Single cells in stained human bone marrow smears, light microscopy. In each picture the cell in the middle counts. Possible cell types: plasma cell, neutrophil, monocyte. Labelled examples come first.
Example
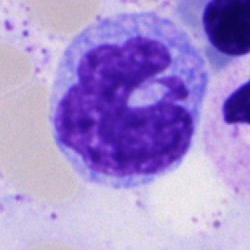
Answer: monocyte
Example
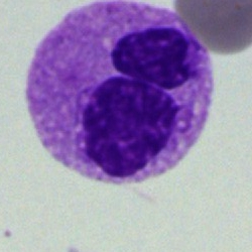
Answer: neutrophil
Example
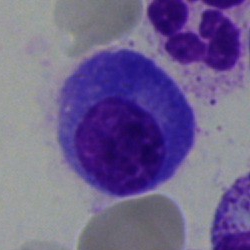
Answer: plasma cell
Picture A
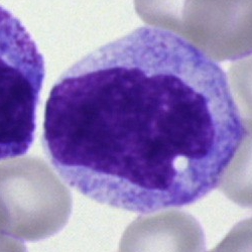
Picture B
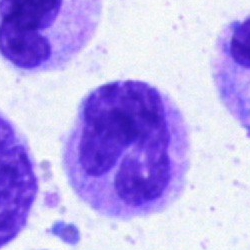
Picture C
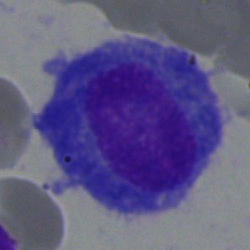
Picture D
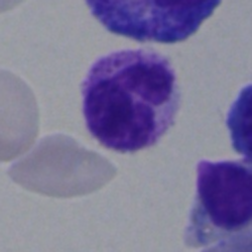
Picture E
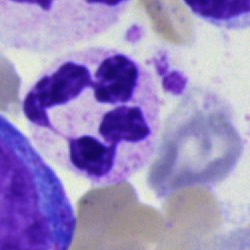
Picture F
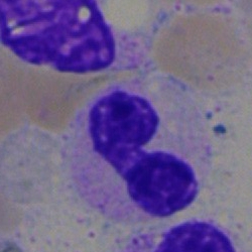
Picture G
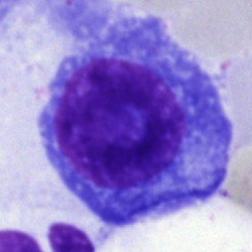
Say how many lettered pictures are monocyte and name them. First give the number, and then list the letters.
Count: 1 (A)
